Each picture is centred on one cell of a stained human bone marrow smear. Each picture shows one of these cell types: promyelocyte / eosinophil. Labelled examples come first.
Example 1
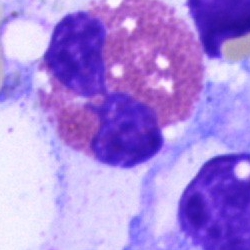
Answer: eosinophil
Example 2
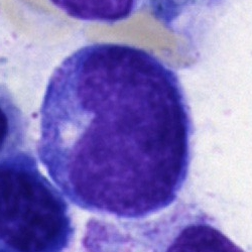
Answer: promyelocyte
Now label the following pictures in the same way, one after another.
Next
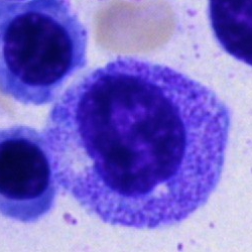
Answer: promyelocyte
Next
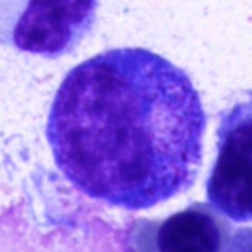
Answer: promyelocyte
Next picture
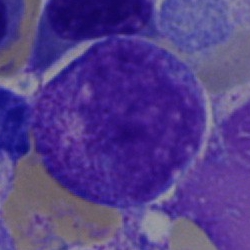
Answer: promyelocyte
